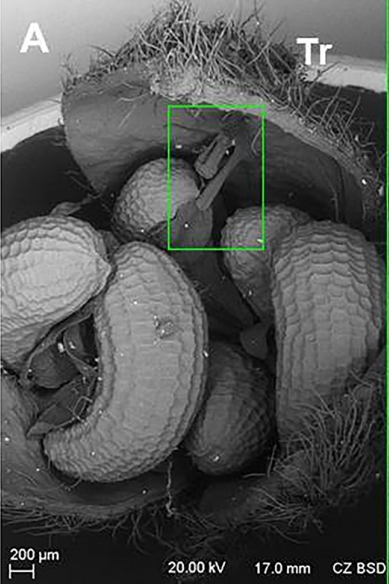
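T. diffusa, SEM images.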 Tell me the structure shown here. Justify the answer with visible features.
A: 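Several rounded, curved bodies with a honeycomb-patterned surface lie packed together. They sit inside an opened wall whose rim bears many long hairs. So: Capsule with seeds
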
